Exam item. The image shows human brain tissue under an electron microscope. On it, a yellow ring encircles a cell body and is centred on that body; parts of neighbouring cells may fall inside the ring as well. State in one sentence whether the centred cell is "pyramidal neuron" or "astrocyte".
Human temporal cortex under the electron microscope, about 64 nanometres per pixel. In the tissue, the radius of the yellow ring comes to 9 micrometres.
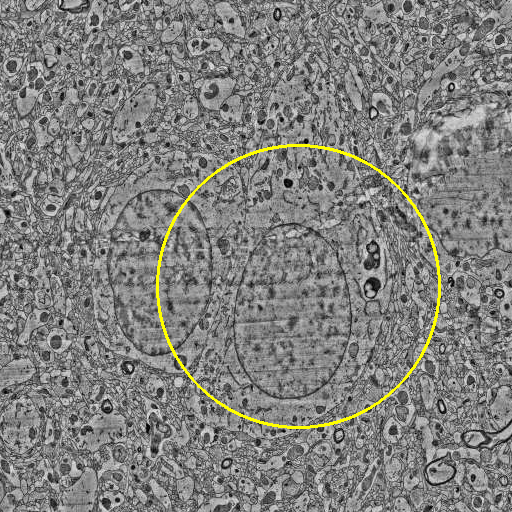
The cell body centred in the ring is a pyramidal neuron.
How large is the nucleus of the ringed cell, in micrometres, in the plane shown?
The nucleus is approximately 11 micrometers long by 8 micrometers wide in this plane.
